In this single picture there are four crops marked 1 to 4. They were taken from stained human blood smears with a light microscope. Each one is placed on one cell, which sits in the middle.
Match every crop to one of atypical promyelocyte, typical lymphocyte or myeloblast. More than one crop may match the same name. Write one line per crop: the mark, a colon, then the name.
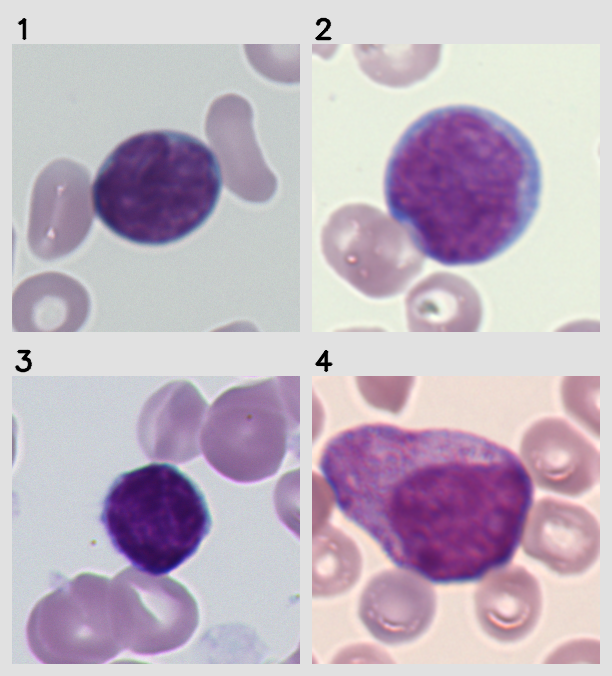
1: typical lymphocyte
2: myeloblast
3: typical lymphocyte
4: atypical promyelocyte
